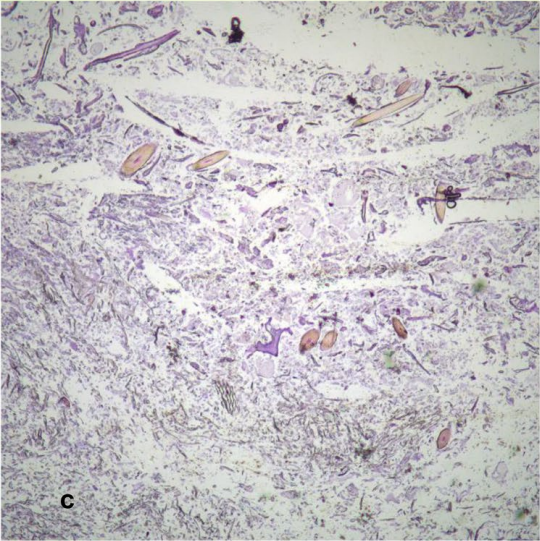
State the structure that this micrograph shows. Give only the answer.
Section of hairs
